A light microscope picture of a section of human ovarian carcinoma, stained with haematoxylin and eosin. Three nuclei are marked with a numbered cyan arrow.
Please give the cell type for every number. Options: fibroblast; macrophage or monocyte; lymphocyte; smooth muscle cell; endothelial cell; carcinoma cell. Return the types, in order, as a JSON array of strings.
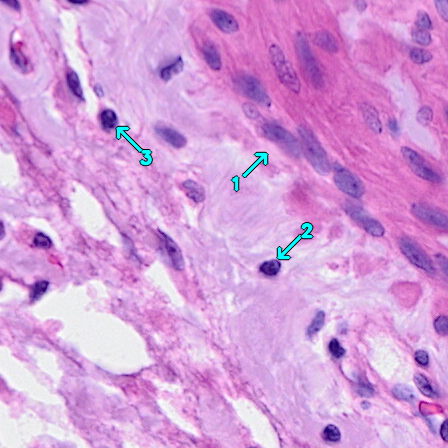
["smooth muscle cell", "lymphocyte", "lymphocyte"]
